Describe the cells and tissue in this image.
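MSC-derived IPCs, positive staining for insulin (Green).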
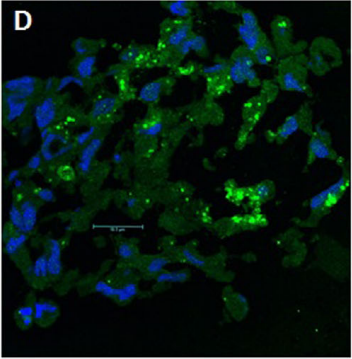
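These are cultured cells grouped into loose, irregular aggregates with many open spaces between them, rather than an organised tissue. The cells are irregular in shape, with elongated or oval blue nuclei, some crowded together. Their cytoplasm shows a faint diffuse green tint, and scattered through it are bright green dots and small clumps, giving a granular, speckled appearance. The bright granules are unevenly distributed, concentrated in some cells and sparse in others. The cells form branching cords and clusters that wind across the field, separated by dark empty areas.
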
